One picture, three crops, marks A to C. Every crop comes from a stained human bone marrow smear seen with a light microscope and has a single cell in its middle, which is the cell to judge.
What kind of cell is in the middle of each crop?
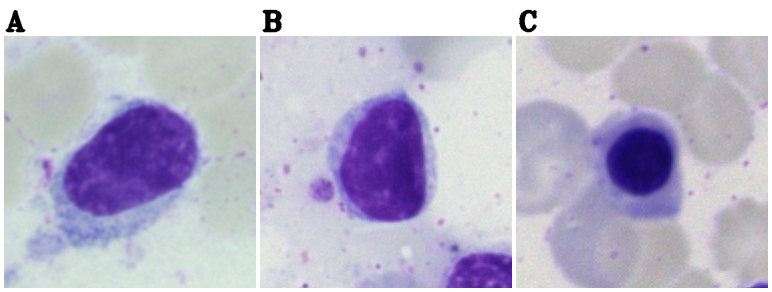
A: hairy cell
B: lymphocyte
C: normoblast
